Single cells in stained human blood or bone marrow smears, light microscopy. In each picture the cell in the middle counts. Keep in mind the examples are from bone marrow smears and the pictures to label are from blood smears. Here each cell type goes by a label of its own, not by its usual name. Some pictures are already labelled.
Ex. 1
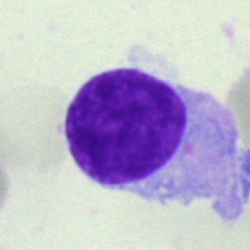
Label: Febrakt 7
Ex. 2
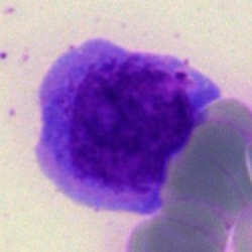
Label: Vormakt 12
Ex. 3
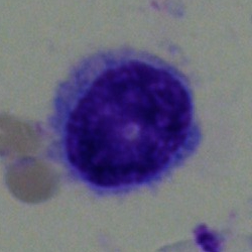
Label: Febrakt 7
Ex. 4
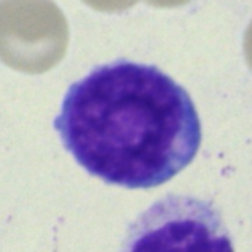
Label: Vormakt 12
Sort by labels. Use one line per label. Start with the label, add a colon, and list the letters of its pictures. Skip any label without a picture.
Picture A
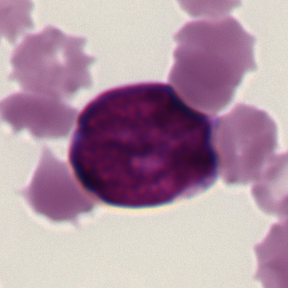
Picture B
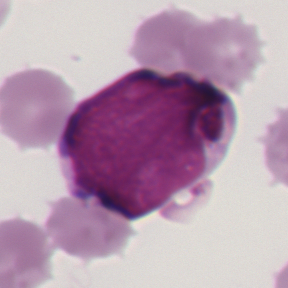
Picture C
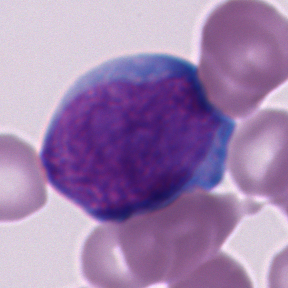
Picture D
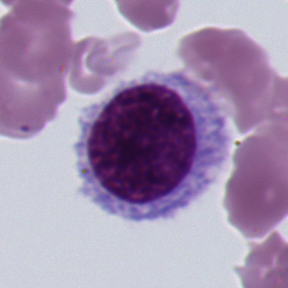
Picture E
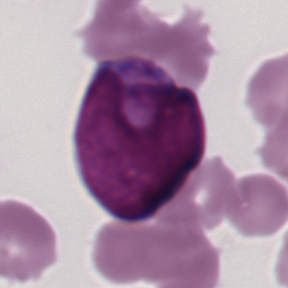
Febrakt 7: D
Vormakt 12: A, B, C, E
